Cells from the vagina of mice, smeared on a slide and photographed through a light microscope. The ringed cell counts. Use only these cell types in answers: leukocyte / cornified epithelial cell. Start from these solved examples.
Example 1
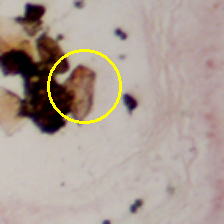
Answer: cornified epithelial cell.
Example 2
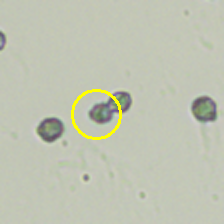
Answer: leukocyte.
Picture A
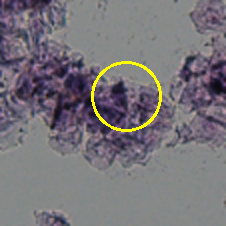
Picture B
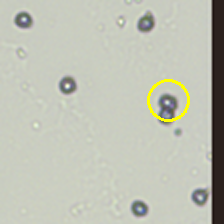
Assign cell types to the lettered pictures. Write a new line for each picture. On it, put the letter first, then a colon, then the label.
A: cornified epithelial cell.
B: leukocyte.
